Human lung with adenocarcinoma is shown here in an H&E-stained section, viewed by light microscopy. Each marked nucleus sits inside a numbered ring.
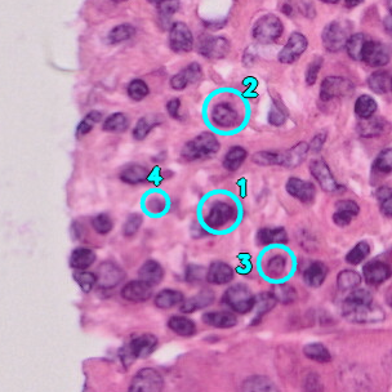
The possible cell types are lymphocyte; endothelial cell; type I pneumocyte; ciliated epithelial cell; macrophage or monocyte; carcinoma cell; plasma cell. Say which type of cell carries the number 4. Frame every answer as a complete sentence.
The mark numbered 4 indicates the nucleus of a lymphocyte.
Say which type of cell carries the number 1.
The correct label for cell 1 is a plasma cell.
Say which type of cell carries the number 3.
In the tissue shown, cell 3 is a plasma cell.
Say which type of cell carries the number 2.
The marked cell bearing number 2 is a plasma cell.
